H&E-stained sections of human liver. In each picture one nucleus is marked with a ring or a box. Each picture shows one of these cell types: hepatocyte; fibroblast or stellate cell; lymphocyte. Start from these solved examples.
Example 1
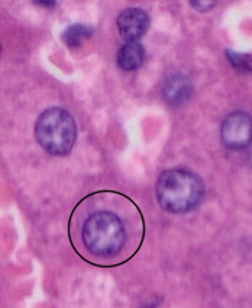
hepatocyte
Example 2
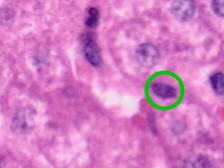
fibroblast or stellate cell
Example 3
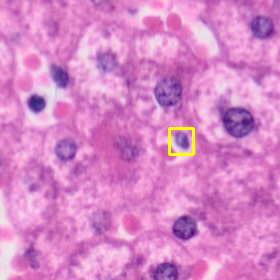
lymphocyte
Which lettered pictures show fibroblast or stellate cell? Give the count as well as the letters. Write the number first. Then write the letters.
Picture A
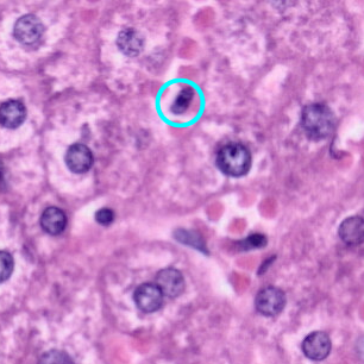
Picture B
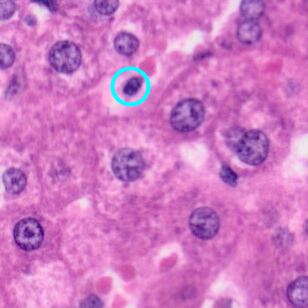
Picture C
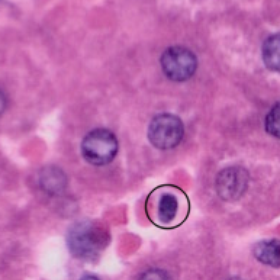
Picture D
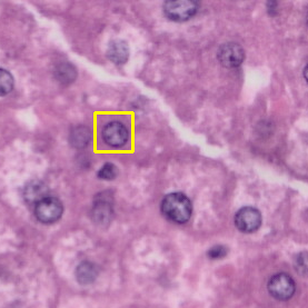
0, none of them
